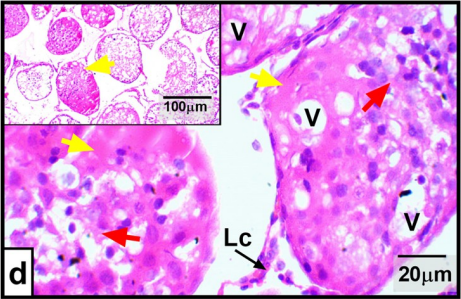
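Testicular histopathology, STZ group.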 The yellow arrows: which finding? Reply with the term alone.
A: necrotic seminiferous tubules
